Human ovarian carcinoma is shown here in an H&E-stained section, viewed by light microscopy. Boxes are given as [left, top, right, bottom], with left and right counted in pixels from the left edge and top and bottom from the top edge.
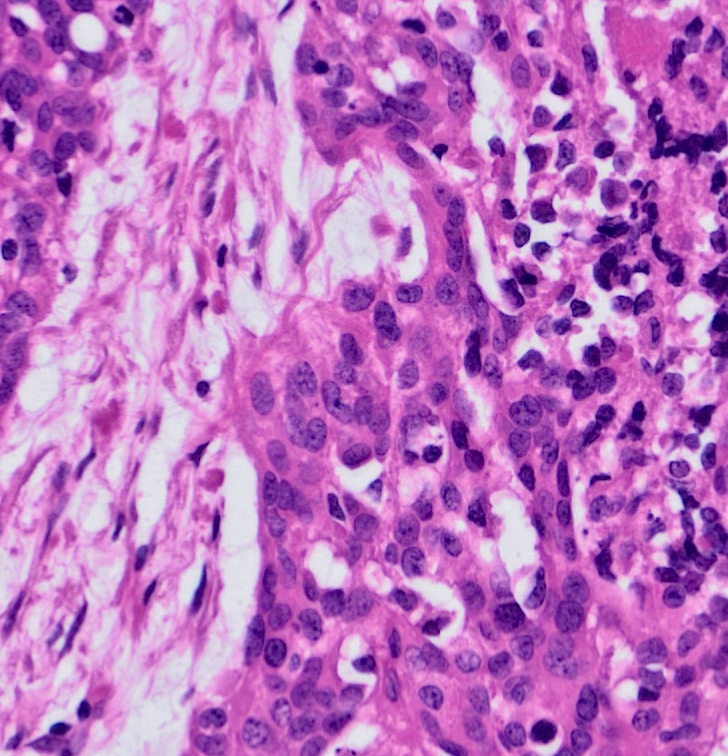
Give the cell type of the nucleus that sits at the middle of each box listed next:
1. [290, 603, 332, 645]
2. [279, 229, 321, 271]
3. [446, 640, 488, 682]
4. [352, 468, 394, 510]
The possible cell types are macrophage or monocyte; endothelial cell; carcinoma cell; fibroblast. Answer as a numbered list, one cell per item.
1. macrophage or monocyte
2. fibroblast
3. macrophage or monocyte
4. carcinoma cell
